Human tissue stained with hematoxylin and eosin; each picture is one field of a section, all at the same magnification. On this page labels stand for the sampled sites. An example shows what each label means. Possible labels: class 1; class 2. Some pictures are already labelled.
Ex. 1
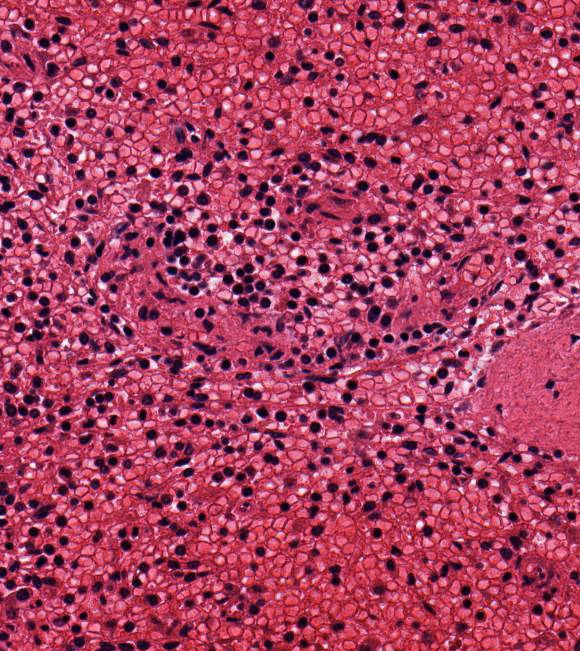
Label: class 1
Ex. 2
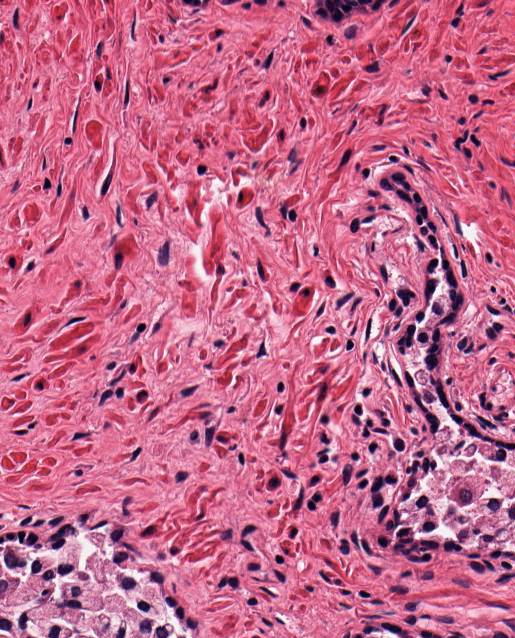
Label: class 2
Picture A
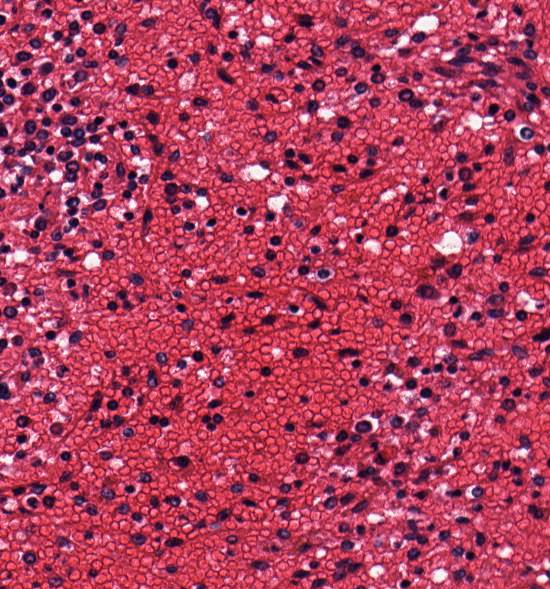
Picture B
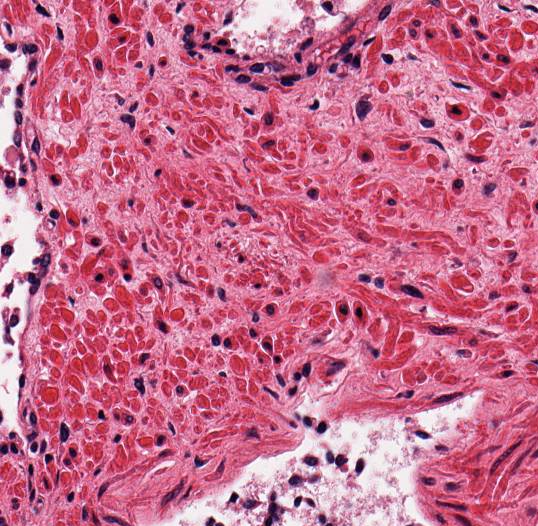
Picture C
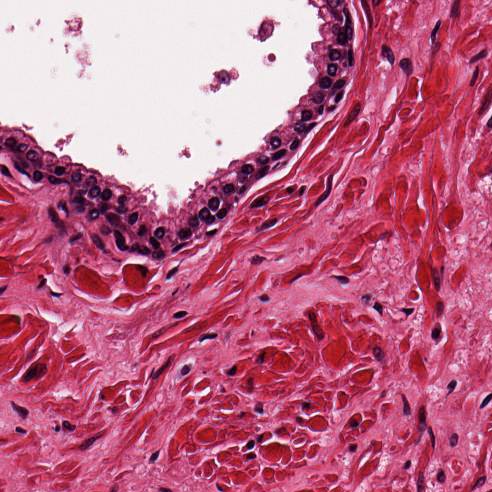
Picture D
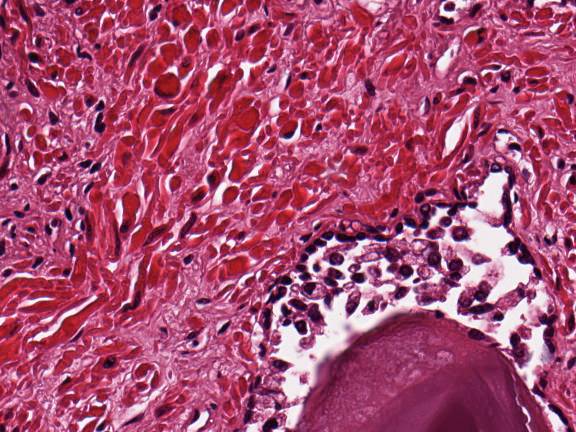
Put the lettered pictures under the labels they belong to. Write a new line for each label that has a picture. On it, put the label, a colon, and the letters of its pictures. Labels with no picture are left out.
class 1: A
class 2: B, C, D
